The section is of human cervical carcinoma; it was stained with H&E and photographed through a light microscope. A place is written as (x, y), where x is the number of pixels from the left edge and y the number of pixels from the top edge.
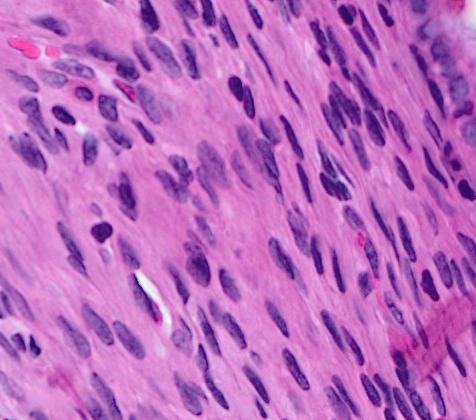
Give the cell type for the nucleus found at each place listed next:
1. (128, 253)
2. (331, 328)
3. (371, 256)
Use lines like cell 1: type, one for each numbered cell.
cell 1: endothelial cell
cell 2: fibroblast
cell 3: endothelial cell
